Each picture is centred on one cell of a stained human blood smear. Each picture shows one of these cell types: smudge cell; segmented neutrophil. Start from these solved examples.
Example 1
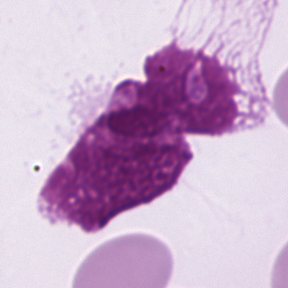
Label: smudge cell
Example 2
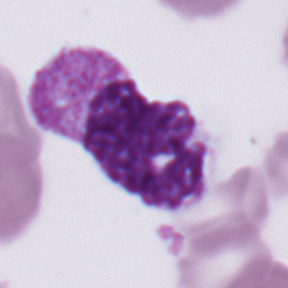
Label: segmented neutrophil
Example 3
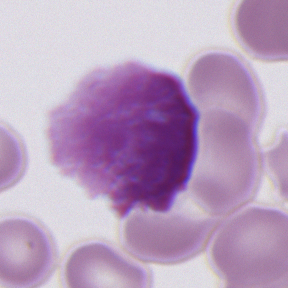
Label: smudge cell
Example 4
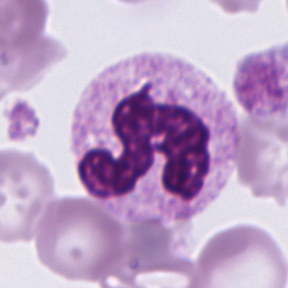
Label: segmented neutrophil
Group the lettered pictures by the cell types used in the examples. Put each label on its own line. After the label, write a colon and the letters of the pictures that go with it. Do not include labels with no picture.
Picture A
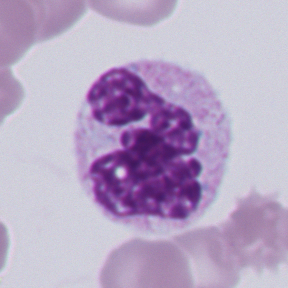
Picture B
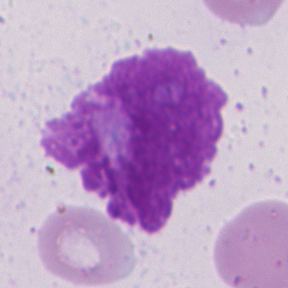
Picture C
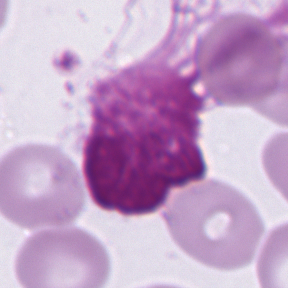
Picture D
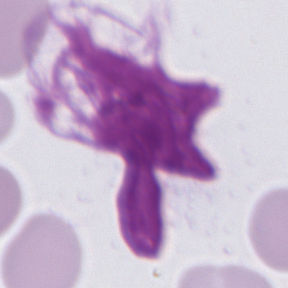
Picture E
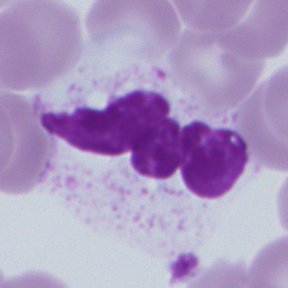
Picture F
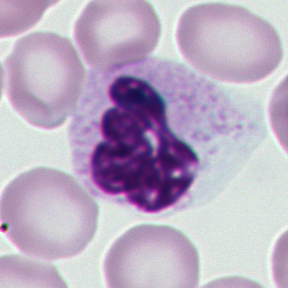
smudge cell: B, C, D
segmented neutrophil: A, E, F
